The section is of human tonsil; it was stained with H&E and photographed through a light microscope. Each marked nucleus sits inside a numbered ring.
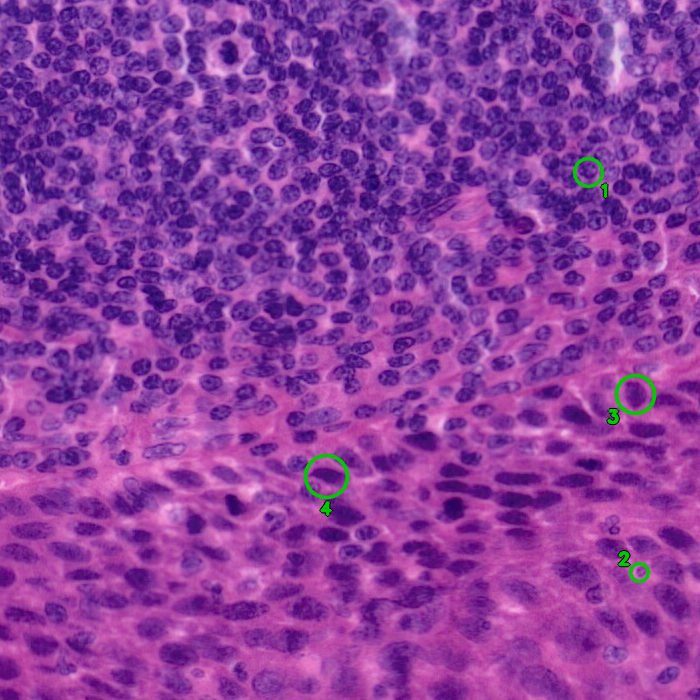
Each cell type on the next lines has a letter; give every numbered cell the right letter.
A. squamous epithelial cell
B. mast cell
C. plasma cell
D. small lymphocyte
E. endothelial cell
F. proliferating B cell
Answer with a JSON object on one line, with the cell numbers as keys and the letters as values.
{"1": "D", "2": "A", "3": "A", "4": "A"}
